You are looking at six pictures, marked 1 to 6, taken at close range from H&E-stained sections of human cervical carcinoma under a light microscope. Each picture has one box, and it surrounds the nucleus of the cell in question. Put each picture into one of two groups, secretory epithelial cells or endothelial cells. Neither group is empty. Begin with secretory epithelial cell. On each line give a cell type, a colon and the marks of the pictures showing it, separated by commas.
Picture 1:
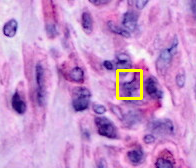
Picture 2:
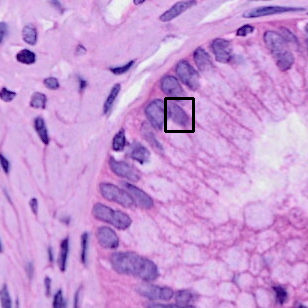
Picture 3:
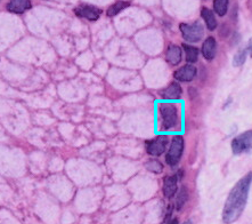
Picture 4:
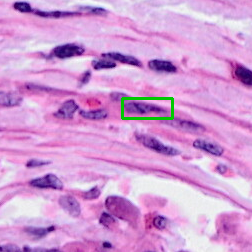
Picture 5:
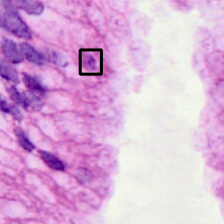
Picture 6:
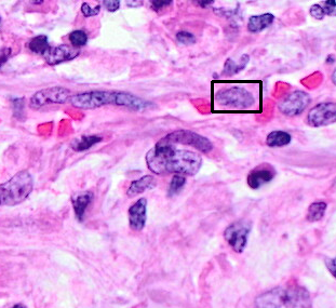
secretory epithelial cell: 2, 3, 5
endothelial cell: 1, 4, 6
